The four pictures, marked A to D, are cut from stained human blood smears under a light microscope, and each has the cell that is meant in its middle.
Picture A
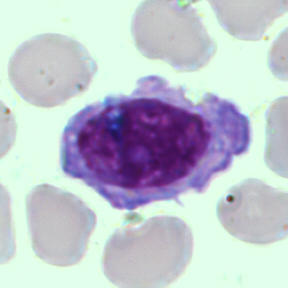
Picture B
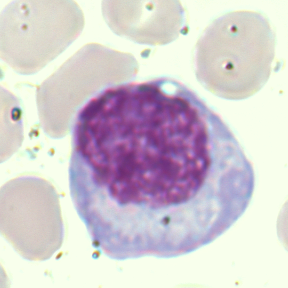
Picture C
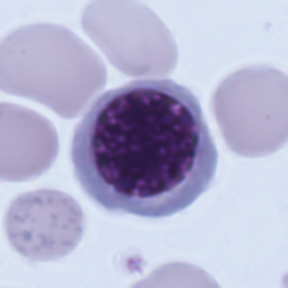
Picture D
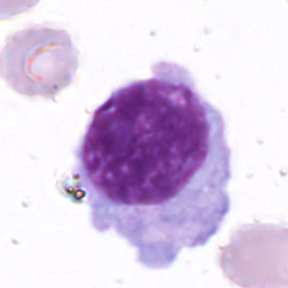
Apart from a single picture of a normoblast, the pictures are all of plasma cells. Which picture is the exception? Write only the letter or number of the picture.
C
